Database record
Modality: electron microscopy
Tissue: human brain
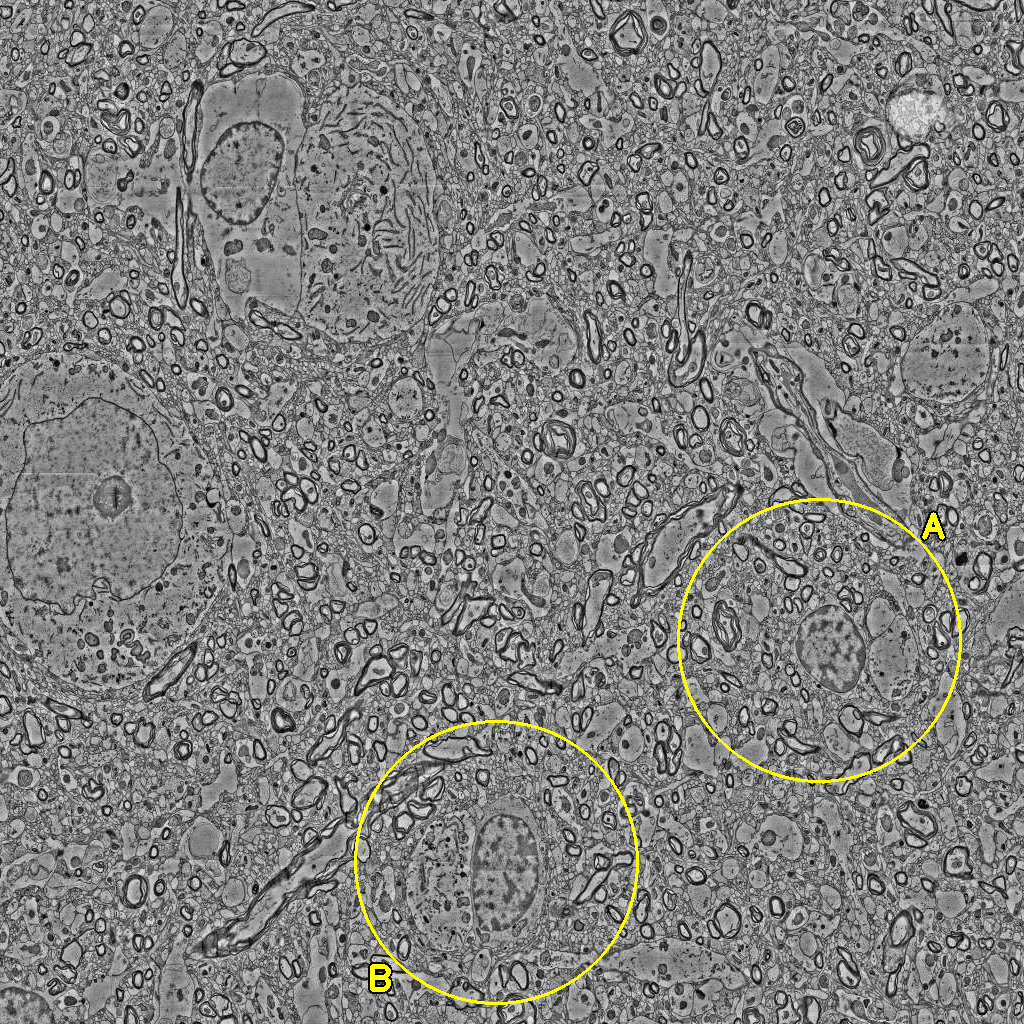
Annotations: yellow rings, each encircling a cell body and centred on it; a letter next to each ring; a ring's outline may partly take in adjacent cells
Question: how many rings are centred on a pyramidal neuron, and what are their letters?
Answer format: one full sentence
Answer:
No yellow ring takes a pyramidal neuron as its centre, and the count is zero as a result.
